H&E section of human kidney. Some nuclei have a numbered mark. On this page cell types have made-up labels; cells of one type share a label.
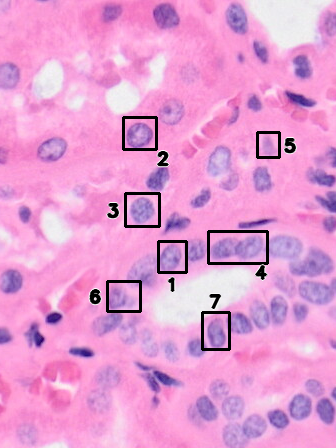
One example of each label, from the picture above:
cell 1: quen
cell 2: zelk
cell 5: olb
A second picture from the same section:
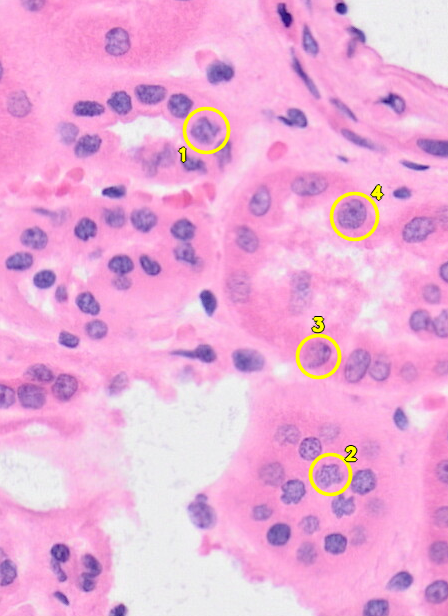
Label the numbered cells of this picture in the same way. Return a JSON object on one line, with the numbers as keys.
{"1": "quen", "2": "olb", "3": "zelk", "4": "zelk"}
